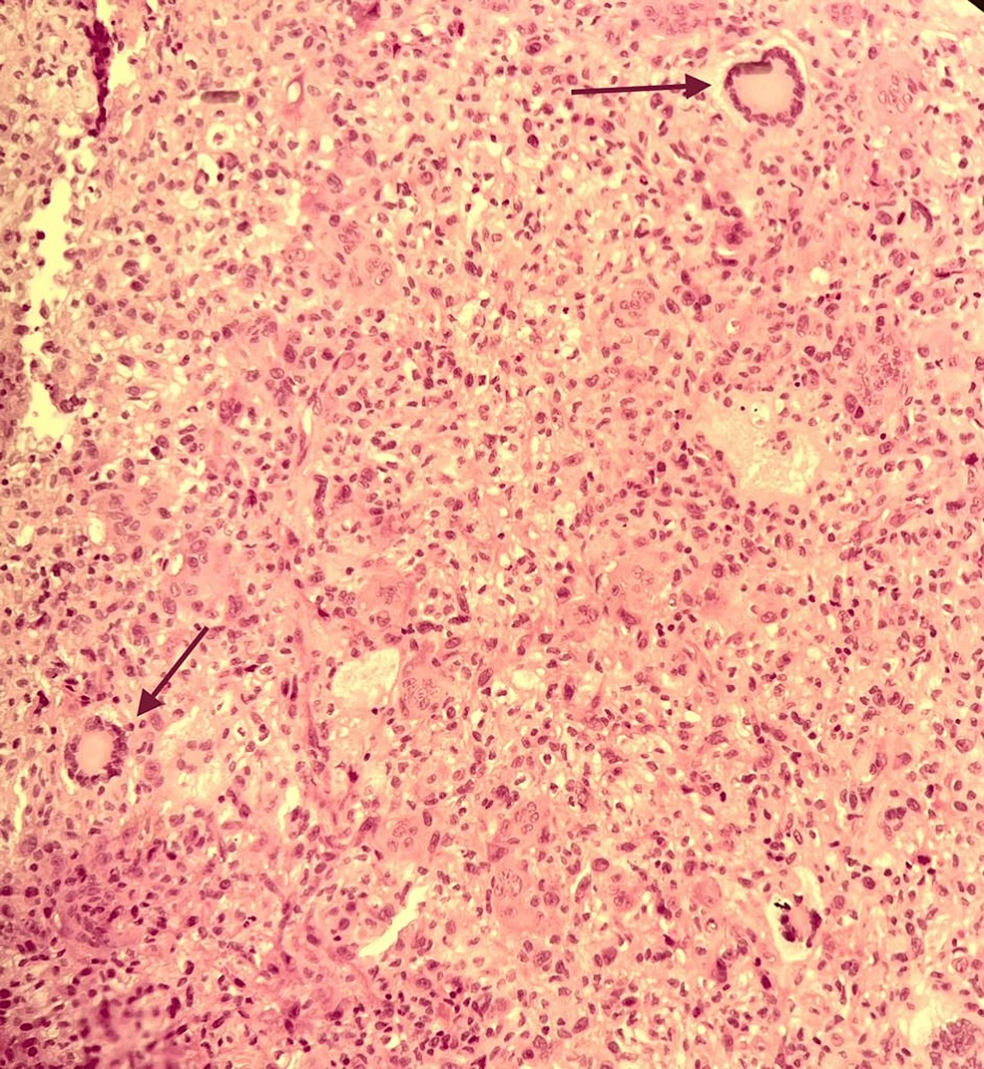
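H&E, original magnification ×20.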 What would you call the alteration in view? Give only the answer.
Xanthogranulomatous reaction.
